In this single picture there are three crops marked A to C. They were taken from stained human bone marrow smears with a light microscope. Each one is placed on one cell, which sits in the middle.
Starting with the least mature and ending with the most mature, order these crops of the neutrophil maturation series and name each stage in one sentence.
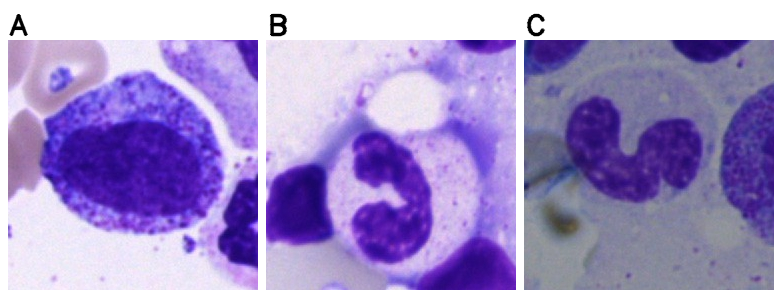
The sequence from earliest to most advanced maturity is crop A (a promyelocyte), crop C (a band neutrophil) and crop B (a segmented neutrophil).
